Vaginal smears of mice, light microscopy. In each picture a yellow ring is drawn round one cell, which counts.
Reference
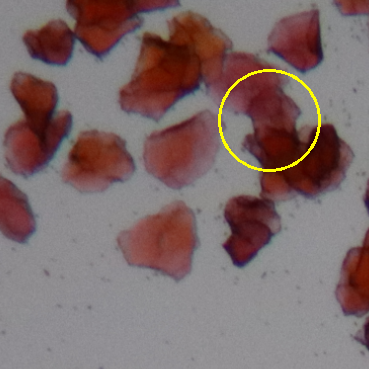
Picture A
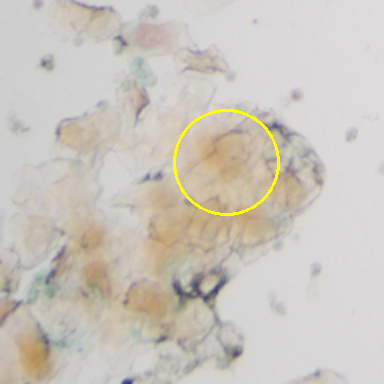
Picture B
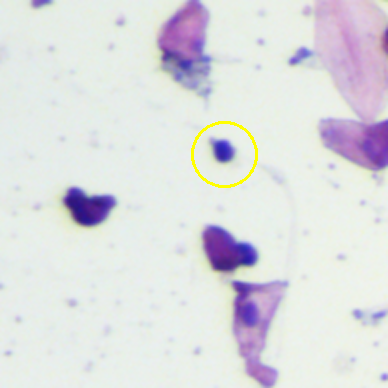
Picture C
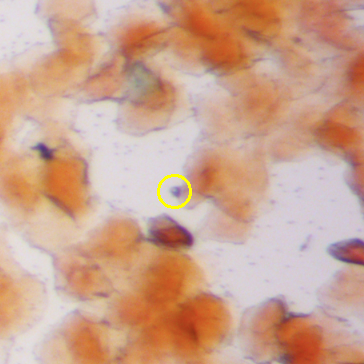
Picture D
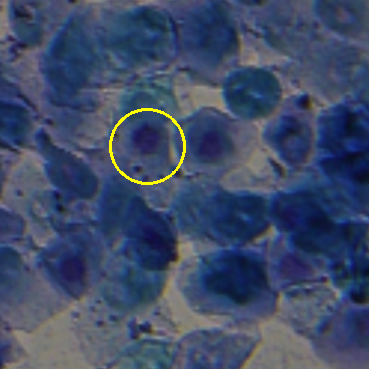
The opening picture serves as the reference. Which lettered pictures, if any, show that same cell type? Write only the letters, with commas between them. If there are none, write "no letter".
A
